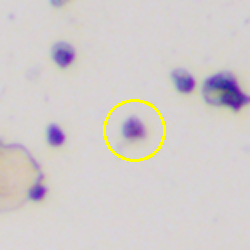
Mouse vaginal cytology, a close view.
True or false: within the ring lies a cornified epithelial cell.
False: a leukocyte lies within the ring.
